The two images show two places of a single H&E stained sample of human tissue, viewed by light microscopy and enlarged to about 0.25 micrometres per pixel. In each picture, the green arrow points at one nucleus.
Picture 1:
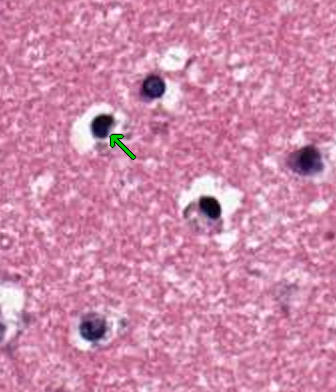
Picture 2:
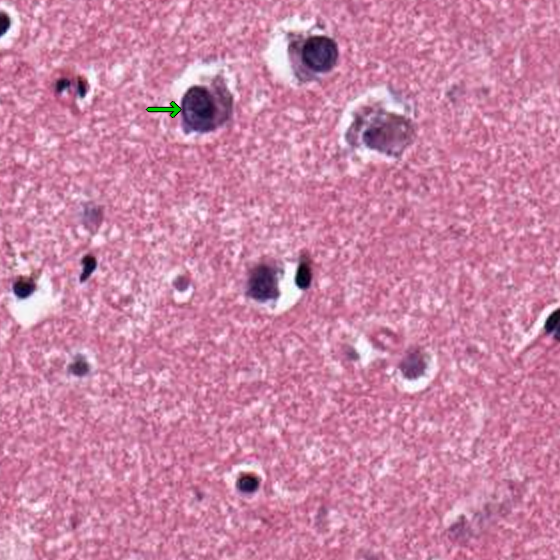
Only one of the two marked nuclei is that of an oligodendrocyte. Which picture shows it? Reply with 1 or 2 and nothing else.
1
